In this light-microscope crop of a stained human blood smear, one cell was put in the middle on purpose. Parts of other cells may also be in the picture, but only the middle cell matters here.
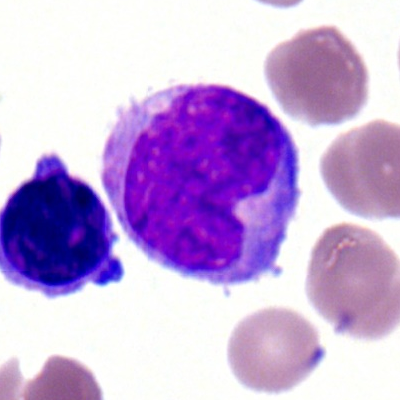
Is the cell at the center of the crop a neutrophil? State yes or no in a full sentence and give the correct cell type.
No, the centred cell is a monocyte instead of a neutrophil.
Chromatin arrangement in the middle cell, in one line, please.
The chromatin shows a fine pattern without coarse clumps.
